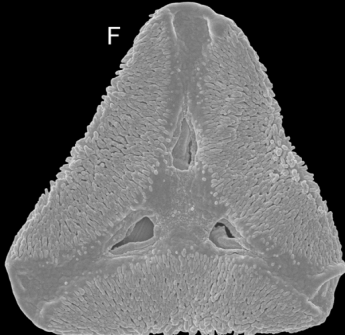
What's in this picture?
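A single pollen grain seen from the pole, triangular with nearly straight sides and slightly truncated angles. The wall surface is densely covered with small spinule-like elements, and three elongated openings lie close together near the centre, each pointing towards one angle.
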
